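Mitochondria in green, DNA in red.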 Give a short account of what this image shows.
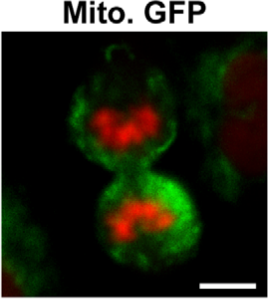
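This is a single dividing cell caught late in division, pinched into two rounded daughter cells that are still joined by a narrow bridge. In each daughter cell a compact red mass of condensed chromosomes sits near the middle, the two masses lying well apart from each other. The green is not shared out evenly: the lower daughter cell is brighter and more densely filled, while the upper one carries a fainter, thinner green. Parts of neighbouring cells show at the edges as dim green and red.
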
